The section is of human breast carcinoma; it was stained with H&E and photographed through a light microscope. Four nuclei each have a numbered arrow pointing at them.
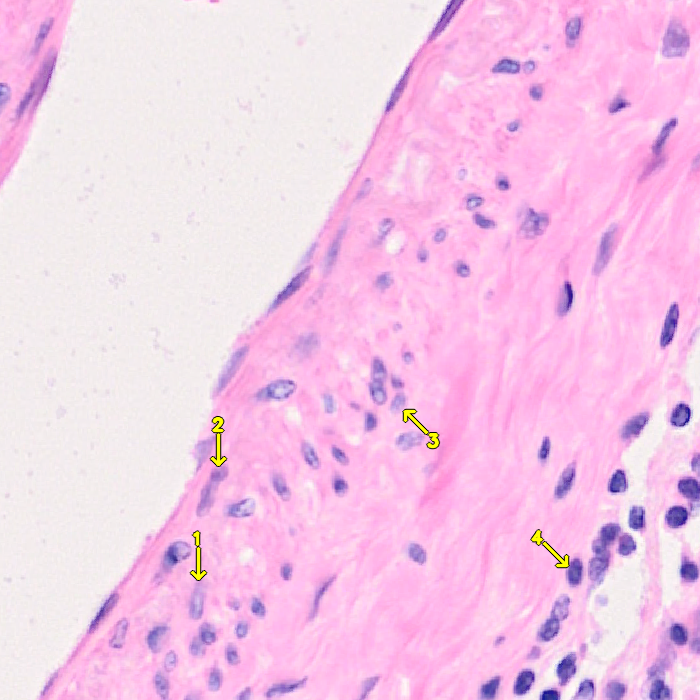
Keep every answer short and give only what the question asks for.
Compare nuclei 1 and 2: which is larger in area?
1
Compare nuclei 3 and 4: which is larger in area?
4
